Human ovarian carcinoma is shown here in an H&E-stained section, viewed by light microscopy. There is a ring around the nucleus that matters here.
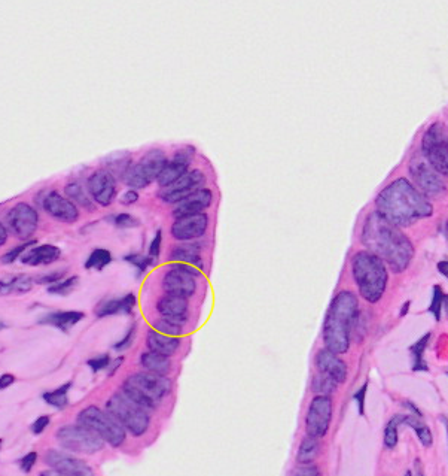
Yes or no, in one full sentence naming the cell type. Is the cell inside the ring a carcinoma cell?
Yes, the identification stands: the cell inside the ring is a carcinoma cell.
